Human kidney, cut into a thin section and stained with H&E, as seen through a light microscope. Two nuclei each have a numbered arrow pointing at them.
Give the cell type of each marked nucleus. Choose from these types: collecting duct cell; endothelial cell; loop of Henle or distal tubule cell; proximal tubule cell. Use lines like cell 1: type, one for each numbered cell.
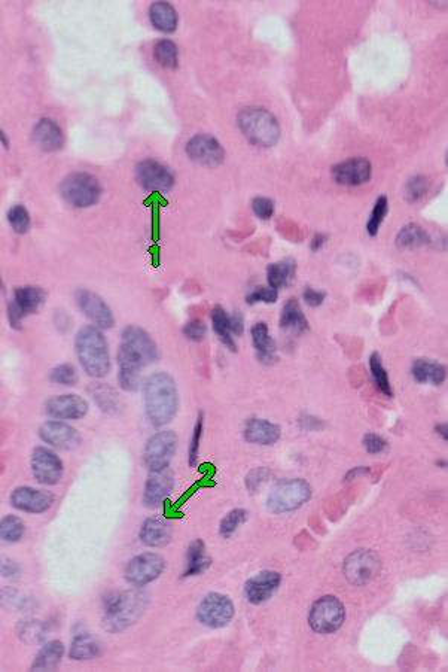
cell 1: loop of Henle or distal tubule cell
cell 2: collecting duct cell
